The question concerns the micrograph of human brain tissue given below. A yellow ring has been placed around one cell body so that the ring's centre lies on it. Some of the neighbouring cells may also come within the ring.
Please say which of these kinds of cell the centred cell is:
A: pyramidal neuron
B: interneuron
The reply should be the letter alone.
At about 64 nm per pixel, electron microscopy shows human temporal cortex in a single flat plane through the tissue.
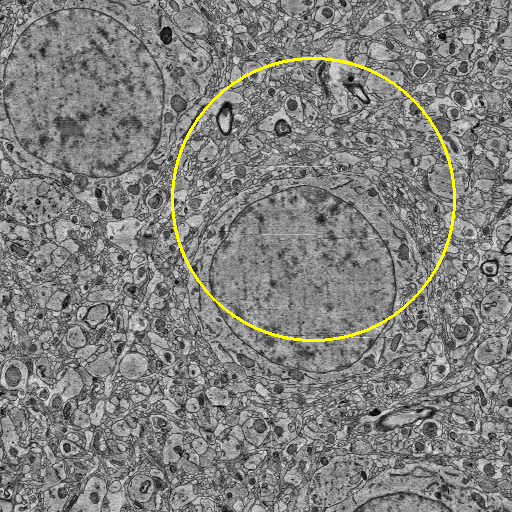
A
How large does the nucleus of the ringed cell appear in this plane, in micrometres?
Roughly 12 micrometres across for the nucleus, in this plane.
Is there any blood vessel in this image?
No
